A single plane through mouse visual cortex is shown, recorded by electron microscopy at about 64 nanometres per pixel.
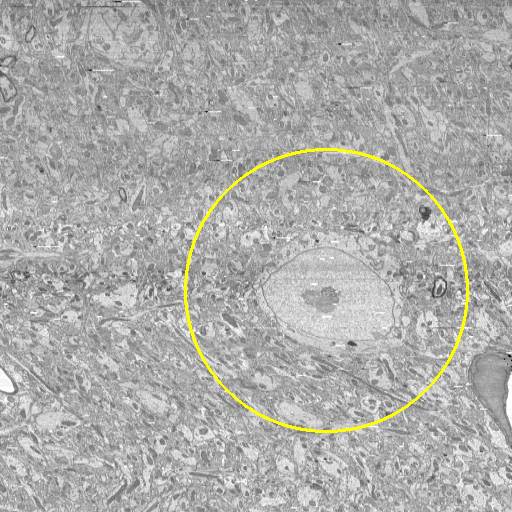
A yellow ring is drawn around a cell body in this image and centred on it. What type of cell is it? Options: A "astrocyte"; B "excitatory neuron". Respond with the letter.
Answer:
B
